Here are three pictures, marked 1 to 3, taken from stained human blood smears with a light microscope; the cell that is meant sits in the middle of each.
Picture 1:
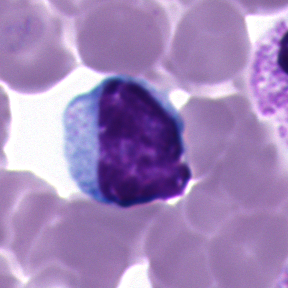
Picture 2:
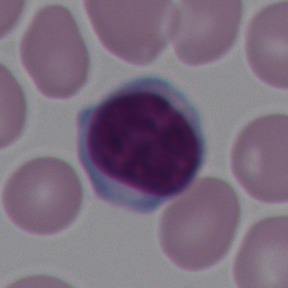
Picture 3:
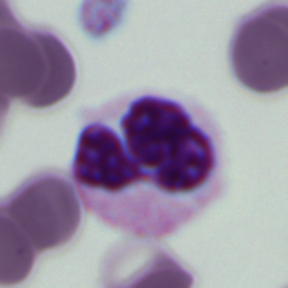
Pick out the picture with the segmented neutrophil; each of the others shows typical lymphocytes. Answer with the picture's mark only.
3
